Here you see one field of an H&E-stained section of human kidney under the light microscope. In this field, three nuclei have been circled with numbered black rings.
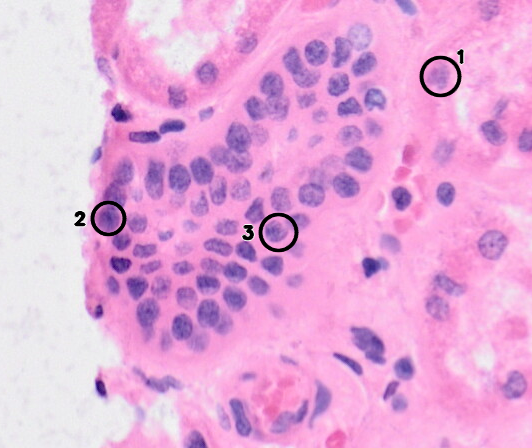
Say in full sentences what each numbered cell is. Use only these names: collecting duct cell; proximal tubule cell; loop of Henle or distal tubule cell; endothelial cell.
Cell 1 is a proximal tubule cell. Cells 2 and 3 are collecting duct cells.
